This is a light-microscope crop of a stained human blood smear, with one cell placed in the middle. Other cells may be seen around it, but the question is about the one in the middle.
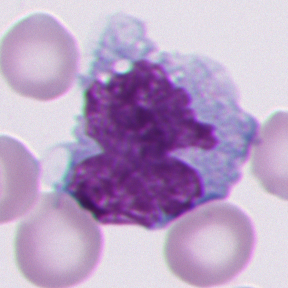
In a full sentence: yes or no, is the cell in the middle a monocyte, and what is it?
Yes, the cell in the middle of this smear crop is a monocyte.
